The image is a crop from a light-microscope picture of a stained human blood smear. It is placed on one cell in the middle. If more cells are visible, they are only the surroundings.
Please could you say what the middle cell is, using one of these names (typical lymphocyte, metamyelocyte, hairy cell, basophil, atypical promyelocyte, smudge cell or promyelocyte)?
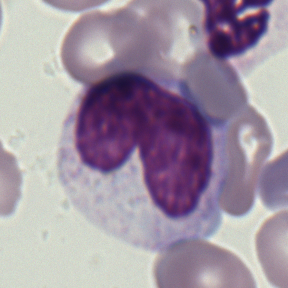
metamyelocyte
